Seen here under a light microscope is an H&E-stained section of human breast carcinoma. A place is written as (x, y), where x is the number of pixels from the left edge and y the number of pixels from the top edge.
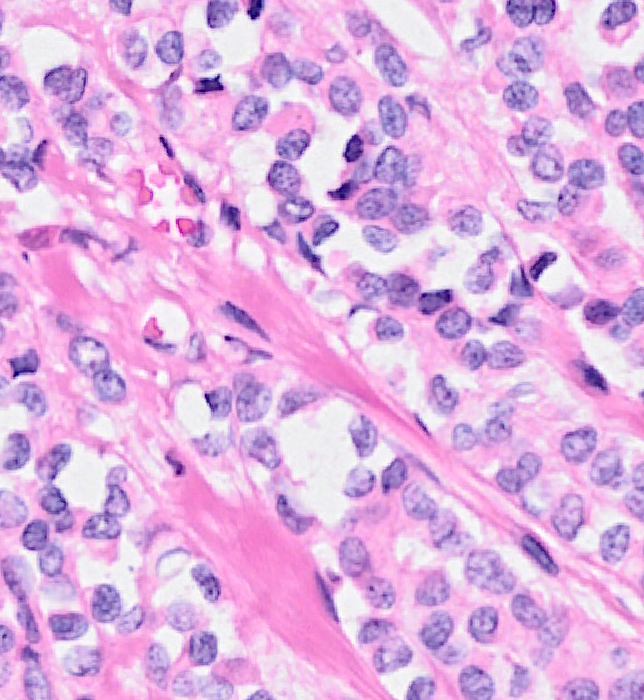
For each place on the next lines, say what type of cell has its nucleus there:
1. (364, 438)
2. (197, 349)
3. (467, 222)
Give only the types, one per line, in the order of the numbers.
carcinoma cell
endothelial cell
carcinoma cell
